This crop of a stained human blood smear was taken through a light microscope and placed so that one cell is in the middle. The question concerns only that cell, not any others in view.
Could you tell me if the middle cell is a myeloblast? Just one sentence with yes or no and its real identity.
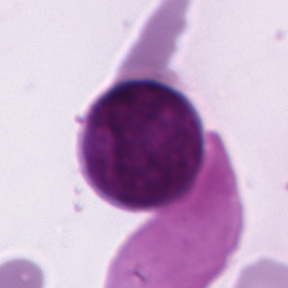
Yes, the one cell at the centre is a myeloblast.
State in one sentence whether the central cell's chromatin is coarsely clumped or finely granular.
Just so you know, its chromatin is coarsely clumped.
